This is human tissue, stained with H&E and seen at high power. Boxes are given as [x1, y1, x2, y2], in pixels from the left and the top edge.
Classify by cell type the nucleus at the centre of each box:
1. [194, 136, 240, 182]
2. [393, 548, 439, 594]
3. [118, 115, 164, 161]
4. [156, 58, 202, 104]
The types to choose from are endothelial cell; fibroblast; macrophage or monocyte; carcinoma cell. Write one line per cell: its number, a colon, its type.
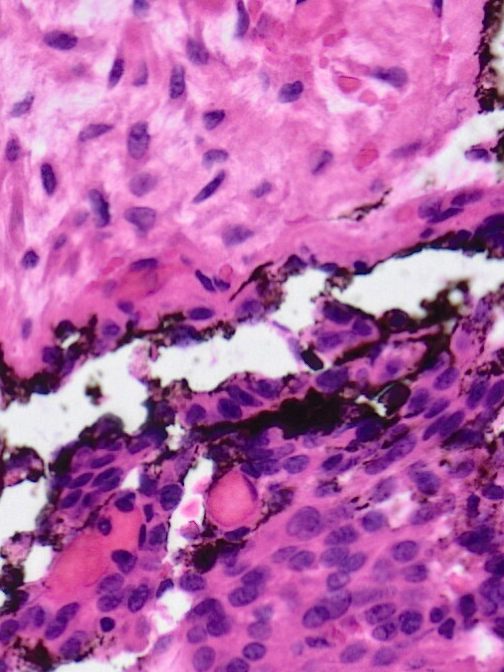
1: fibroblast
2: carcinoma cell
3: fibroblast
4: fibroblast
